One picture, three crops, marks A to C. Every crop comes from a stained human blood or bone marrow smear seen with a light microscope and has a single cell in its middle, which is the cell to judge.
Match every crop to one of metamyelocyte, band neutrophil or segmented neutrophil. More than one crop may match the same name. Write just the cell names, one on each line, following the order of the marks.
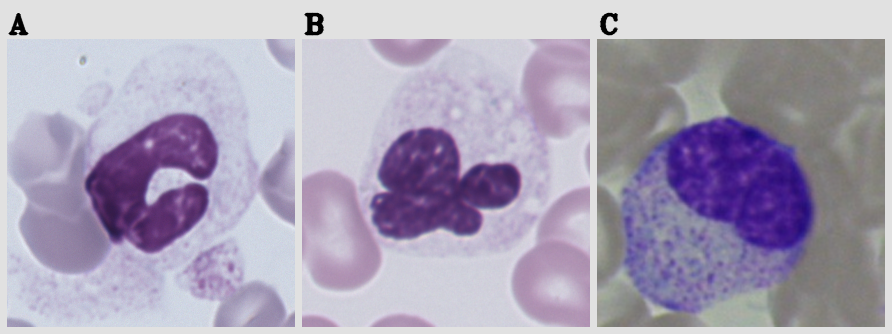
band neutrophil
segmented neutrophil
metamyelocyte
